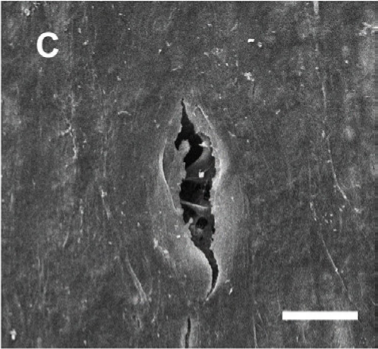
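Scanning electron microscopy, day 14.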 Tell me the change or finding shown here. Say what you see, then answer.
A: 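Cells bridging the pores. A continuous cell layer covers the surface and extends over the pore. Only a narrow slit-like opening remains where the pore lies.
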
